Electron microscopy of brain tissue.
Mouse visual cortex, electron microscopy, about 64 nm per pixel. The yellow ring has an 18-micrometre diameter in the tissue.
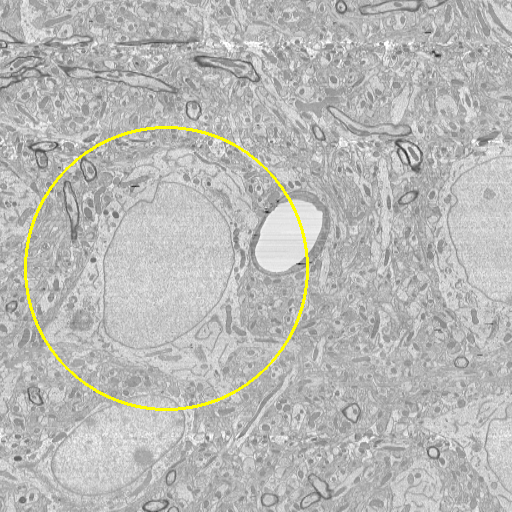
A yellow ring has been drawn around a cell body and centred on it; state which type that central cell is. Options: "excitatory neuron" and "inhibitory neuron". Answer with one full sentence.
The cell at the middle of the yellow ring is an excitatory neuron in this picture.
